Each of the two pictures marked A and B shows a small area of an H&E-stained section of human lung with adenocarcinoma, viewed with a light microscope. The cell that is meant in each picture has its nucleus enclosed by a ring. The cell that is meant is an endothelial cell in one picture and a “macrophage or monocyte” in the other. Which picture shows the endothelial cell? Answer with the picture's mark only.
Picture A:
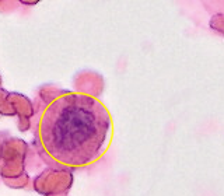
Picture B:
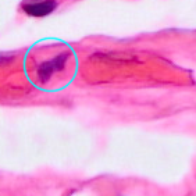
B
